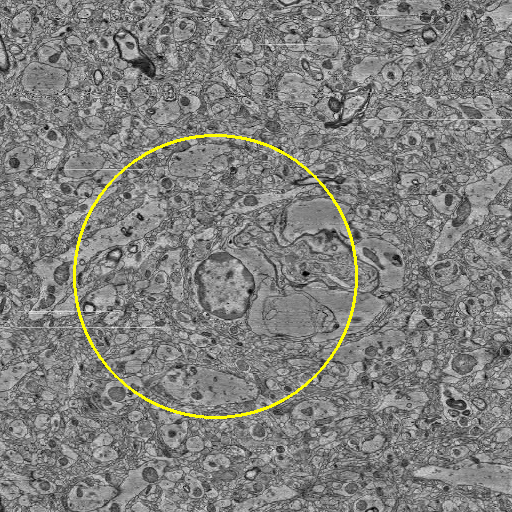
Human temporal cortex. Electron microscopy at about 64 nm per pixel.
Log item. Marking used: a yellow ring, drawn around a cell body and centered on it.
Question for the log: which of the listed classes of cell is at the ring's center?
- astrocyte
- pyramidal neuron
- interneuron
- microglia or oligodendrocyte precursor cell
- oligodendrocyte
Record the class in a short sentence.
At the center of the ring lies a microglial cell or oligodendrocyte precursor cell.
